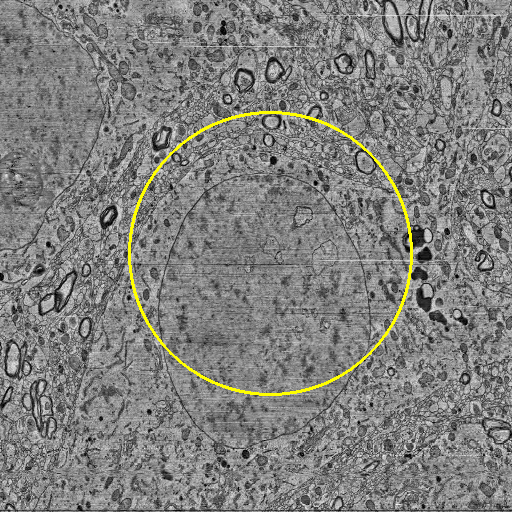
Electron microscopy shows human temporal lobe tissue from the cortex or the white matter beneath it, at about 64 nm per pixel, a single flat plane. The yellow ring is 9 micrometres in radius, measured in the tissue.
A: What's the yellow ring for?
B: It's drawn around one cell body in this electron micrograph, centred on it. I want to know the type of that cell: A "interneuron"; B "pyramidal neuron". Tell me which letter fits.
B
